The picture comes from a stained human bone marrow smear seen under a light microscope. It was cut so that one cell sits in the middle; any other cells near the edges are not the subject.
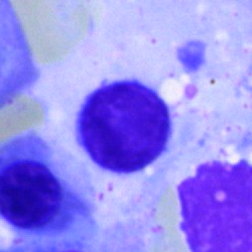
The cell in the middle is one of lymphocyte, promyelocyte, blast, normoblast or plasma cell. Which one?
lymphocyte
